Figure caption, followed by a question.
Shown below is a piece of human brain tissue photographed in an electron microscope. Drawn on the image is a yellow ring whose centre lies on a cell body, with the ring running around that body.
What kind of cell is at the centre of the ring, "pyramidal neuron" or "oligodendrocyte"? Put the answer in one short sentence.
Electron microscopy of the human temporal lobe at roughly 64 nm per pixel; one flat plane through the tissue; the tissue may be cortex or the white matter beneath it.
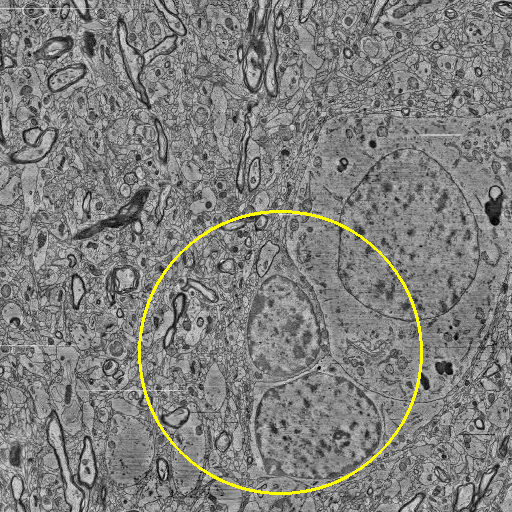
The ring marks the cell body of an oligodendrocyte.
